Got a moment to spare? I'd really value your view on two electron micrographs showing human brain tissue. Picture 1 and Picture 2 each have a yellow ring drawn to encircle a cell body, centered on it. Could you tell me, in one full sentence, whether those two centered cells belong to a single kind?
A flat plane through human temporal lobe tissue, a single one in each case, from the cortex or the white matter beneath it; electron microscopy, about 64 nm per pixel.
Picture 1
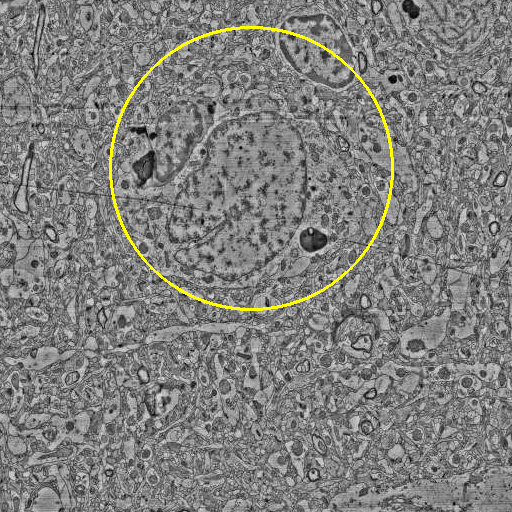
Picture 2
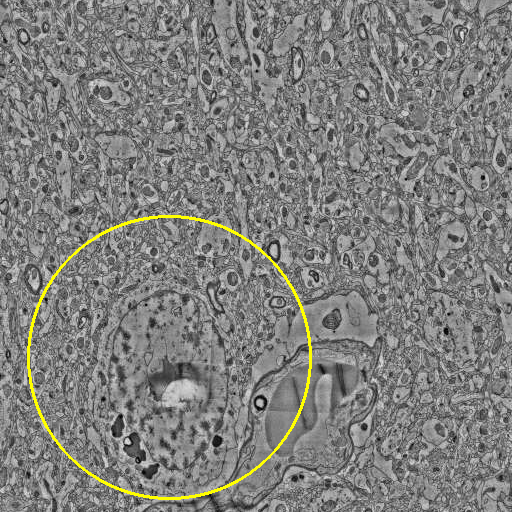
Yes, the two centered cells in Picture 1 and Picture 2 are of a single kind.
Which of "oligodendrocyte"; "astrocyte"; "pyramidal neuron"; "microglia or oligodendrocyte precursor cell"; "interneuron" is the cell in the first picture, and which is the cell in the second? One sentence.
In each of the two pictures, the ringed cell is an interneuron.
